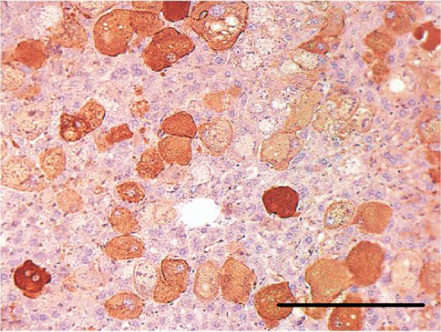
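Liver tissue in which scattered hepatocytes are enlarged and show strong brown cytoplasmic staining, some with vacuolated cytoplasm. They lie singly or in small groups among unstained hepatocytes with pale cytoplasm and blue nuclei.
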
